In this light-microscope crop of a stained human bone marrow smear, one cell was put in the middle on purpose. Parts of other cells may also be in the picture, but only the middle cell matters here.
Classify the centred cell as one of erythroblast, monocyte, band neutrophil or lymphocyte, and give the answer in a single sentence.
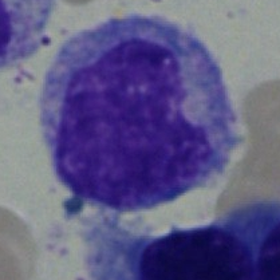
The cell marked by its central position in the crop is a monocyte.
